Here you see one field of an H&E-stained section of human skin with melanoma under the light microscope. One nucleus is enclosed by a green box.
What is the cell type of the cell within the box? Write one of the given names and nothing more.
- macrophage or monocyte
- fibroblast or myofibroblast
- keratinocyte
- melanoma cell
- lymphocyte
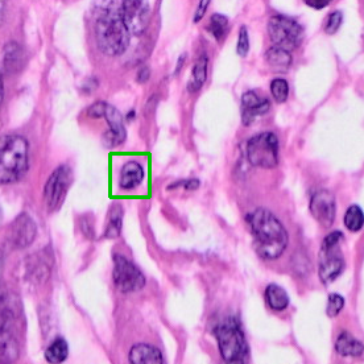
lymphocyte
